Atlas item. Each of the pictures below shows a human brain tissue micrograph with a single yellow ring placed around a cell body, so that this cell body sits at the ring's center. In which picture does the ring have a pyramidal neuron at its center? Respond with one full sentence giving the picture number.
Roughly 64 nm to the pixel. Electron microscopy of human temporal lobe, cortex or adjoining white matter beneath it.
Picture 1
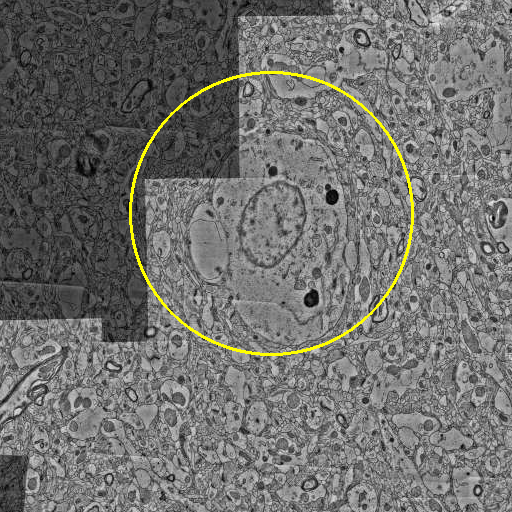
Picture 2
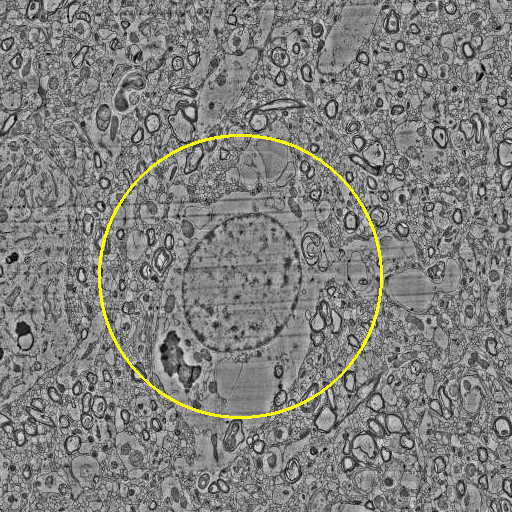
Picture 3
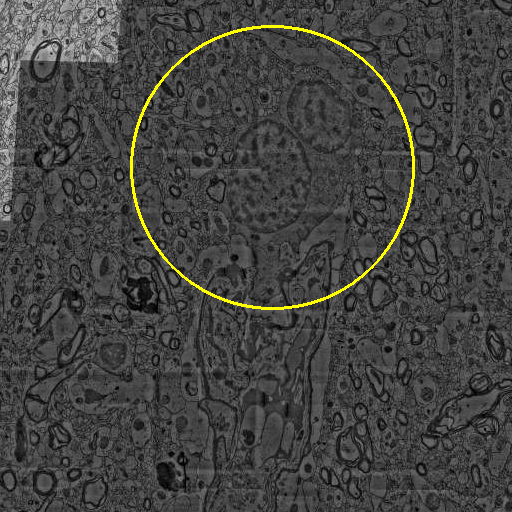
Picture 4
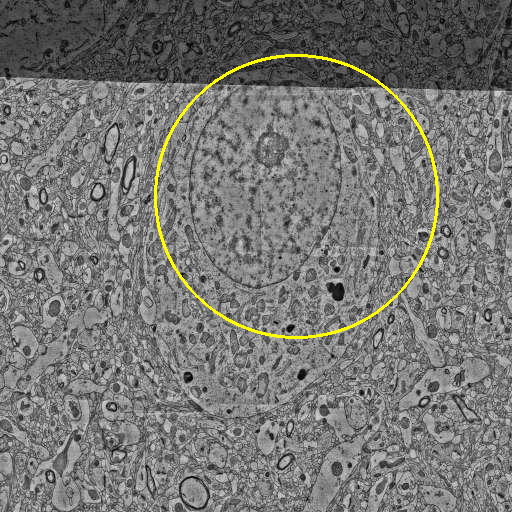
The cell at the ring's center that fits lies in picture 1.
